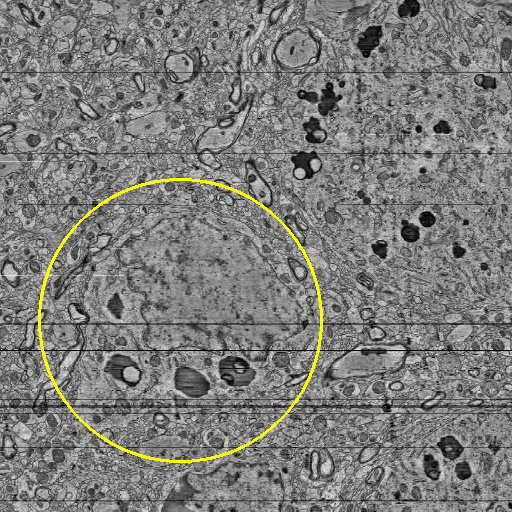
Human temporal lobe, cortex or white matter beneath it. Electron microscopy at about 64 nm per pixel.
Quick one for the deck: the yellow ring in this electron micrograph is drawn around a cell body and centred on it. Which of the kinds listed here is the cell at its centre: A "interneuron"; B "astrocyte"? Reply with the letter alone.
A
